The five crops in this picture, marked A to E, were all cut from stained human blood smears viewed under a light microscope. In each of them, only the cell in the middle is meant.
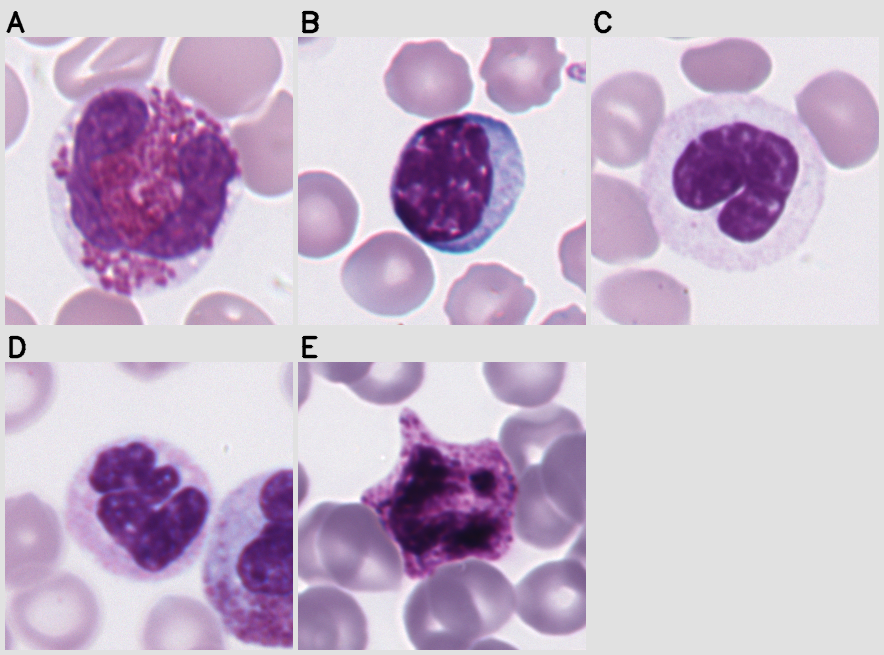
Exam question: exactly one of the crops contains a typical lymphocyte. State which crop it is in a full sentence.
Crop B alone, of all the crops, shows a typical lymphocyte.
